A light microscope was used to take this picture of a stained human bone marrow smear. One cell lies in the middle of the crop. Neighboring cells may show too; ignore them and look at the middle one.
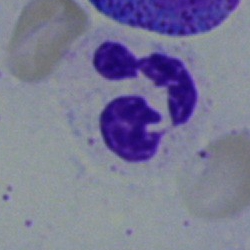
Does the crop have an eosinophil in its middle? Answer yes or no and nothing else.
no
